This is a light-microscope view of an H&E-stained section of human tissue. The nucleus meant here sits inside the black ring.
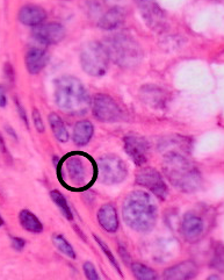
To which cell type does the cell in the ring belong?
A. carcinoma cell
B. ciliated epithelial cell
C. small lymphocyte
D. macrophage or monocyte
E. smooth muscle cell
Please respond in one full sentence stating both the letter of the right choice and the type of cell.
Option B correctly labels the cell in the ring as a ciliated epithelial cell.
